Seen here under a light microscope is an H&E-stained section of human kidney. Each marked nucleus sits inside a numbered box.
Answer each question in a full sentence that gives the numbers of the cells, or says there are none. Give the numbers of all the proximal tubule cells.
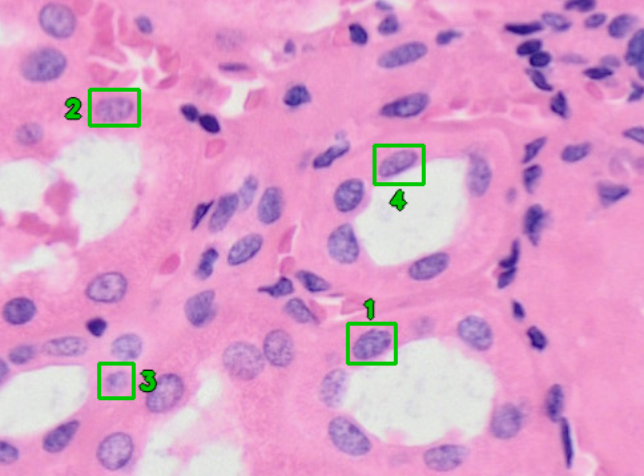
It is only cell 2 that is a proximal tubule cell among the numbered cells.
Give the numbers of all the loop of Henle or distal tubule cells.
The cells assigned the numbers 1 and 4 are loop of Henle or distal tubule cells.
